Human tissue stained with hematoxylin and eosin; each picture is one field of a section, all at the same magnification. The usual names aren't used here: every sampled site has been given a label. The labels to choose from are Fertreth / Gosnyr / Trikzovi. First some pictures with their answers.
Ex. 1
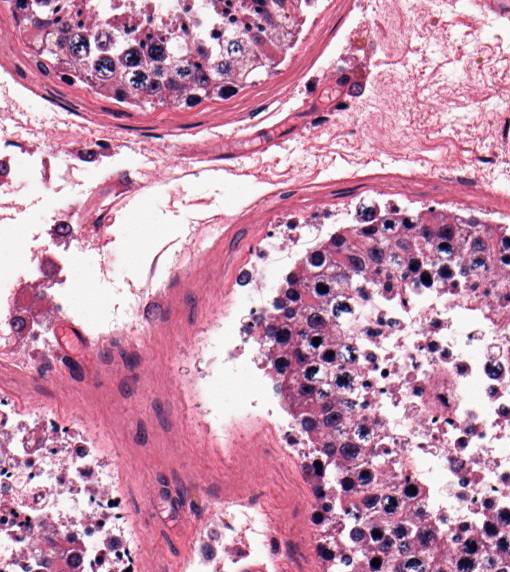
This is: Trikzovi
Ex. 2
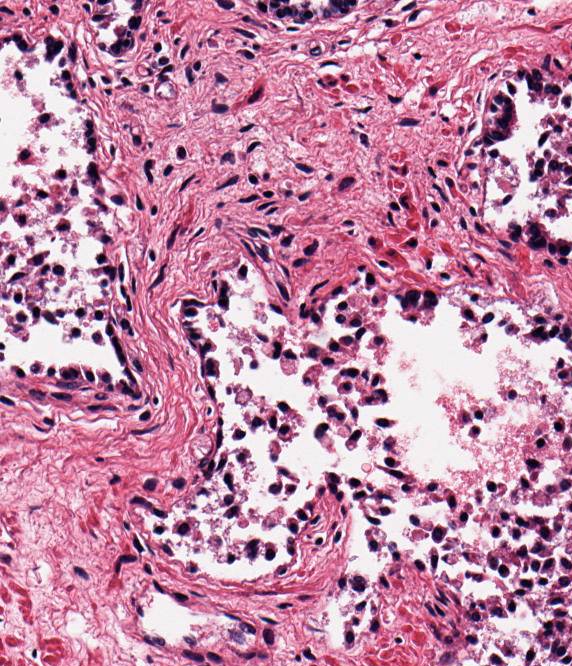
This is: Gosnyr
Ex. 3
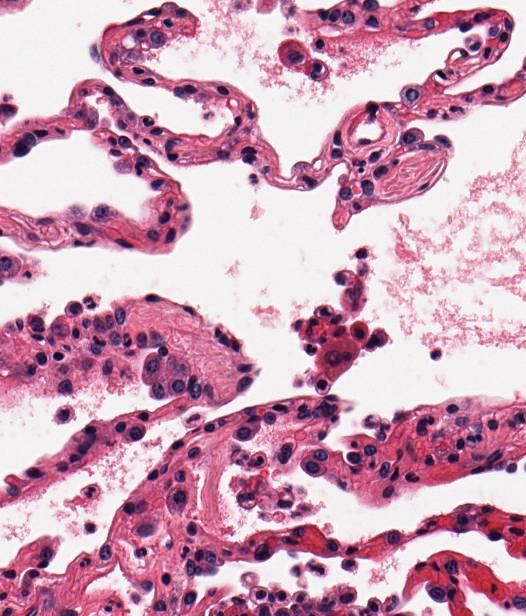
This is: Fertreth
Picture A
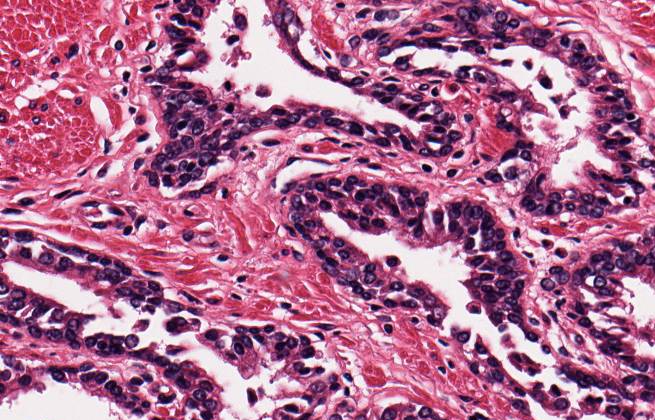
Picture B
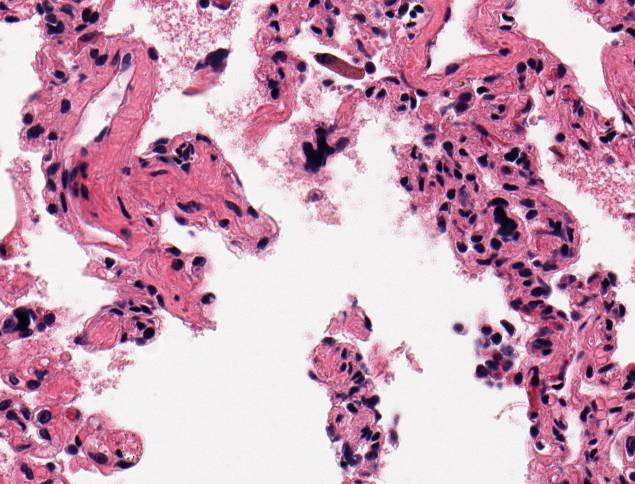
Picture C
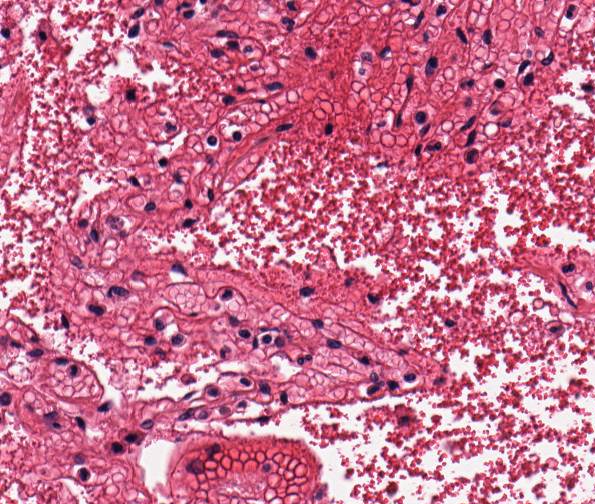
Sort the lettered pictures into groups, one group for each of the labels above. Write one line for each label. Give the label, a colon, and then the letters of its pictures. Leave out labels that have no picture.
Fertreth: B, C
Gosnyr: A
